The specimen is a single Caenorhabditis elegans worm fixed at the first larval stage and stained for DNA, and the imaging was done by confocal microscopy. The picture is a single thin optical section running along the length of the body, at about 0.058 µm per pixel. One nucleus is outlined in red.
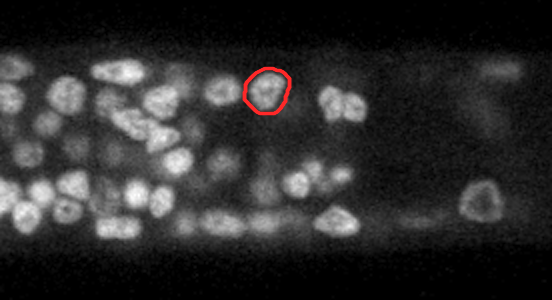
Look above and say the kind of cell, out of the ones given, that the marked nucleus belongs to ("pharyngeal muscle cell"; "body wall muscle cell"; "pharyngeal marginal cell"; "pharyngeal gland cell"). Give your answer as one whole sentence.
This is the nucleus of a pharyngeal muscle cell.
